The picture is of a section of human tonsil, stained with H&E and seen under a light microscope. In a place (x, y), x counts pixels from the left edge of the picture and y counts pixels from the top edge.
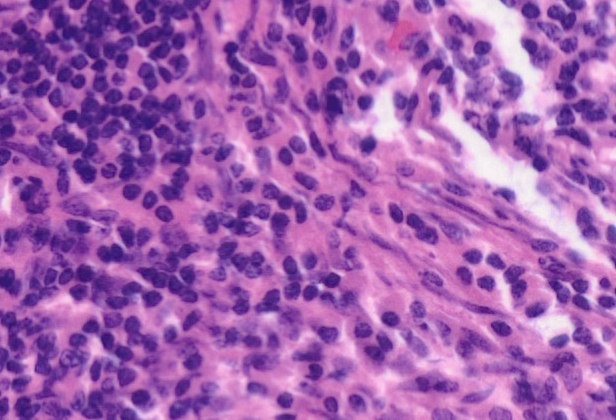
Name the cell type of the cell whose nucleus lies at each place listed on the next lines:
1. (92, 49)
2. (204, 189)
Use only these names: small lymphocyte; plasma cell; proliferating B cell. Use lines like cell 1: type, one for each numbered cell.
cell 1: small lymphocyte
cell 2: plasma cell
